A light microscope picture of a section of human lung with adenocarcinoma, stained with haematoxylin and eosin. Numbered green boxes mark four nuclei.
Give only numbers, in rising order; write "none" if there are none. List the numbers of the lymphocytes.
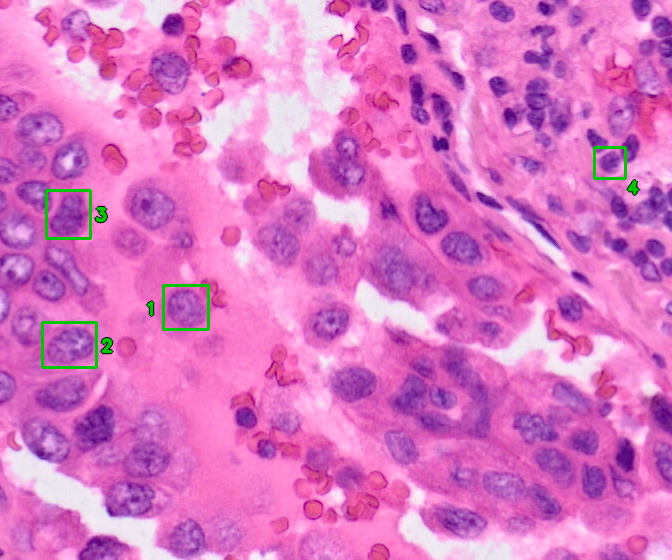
4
